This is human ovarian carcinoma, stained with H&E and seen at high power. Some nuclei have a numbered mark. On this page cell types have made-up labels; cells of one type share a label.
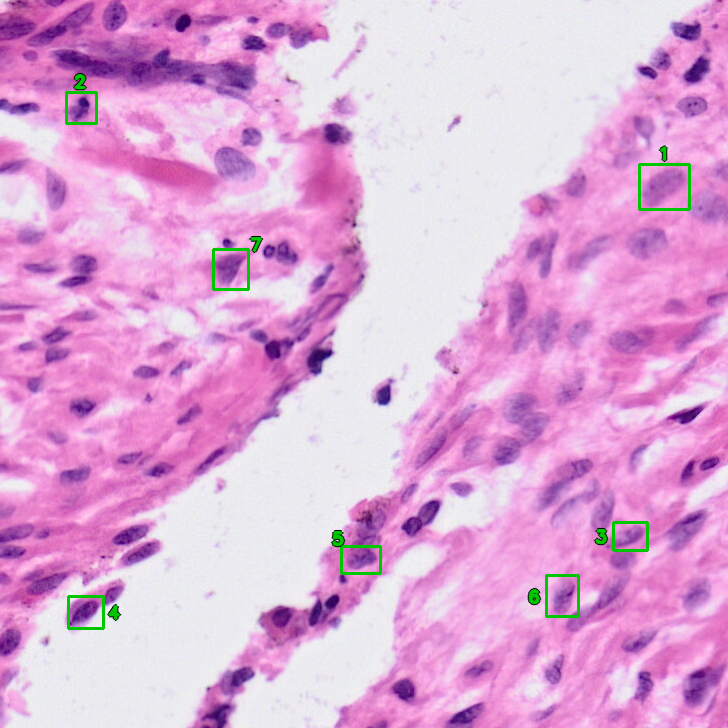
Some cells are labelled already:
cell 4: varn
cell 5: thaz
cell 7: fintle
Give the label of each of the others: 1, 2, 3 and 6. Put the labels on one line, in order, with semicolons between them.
fintle; thaz; fintle; fintle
